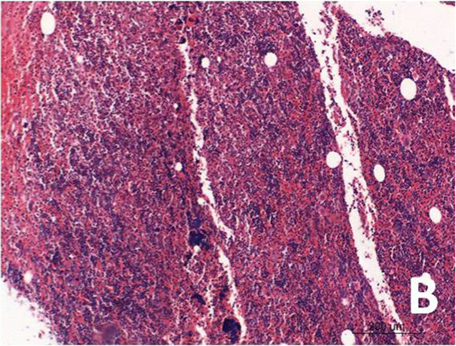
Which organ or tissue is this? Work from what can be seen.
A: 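Hematopoietic elements admixed with adipose tissue. Dense sheets of small cells with dark round nuclei mixed with many red cells. Scattered round empty clear spaces lie among the cellular sheets.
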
